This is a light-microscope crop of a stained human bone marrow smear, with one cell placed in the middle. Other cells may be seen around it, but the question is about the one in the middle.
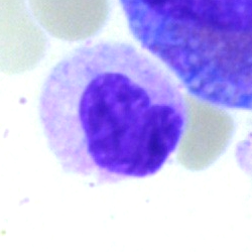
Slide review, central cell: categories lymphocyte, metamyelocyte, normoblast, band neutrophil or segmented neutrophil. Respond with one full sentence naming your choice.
The cell at the middle of the frame should be recorded as a metamyelocyte.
